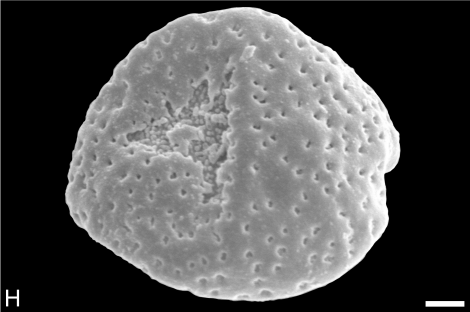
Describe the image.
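Near the middle the outer wall is worn away in an irregular patch. Within this eroded area small rod-like columellae of the underlying wall layer are exposed, while a straight fold runs vertically beside it.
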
